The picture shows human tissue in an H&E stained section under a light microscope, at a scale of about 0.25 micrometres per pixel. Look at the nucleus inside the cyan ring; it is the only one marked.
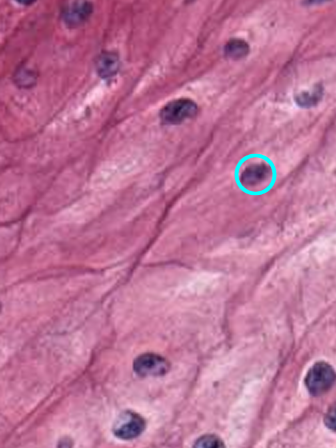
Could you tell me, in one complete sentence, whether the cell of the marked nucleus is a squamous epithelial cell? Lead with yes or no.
Yes, the marked nucleus is that of a squamous epithelial cell in this section.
